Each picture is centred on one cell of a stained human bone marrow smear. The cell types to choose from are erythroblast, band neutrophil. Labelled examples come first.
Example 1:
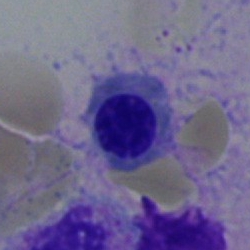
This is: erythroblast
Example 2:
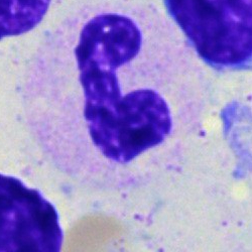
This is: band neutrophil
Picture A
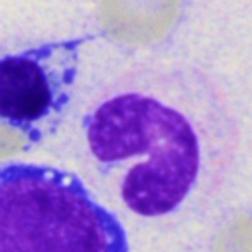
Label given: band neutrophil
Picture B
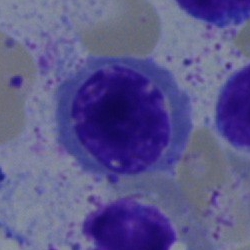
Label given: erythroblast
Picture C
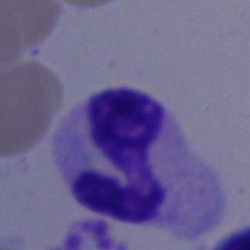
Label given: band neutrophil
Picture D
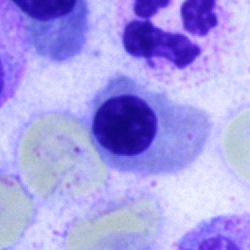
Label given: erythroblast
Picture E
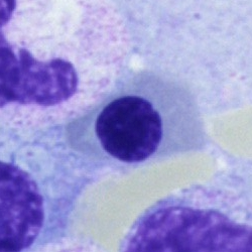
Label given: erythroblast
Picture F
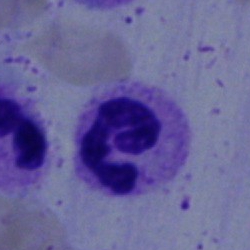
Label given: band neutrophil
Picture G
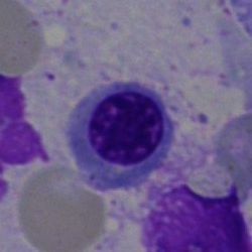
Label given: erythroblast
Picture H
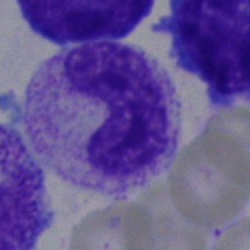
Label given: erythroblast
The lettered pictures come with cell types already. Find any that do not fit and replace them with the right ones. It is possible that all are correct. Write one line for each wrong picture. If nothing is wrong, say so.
H: not erythroblast but band neutrophil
